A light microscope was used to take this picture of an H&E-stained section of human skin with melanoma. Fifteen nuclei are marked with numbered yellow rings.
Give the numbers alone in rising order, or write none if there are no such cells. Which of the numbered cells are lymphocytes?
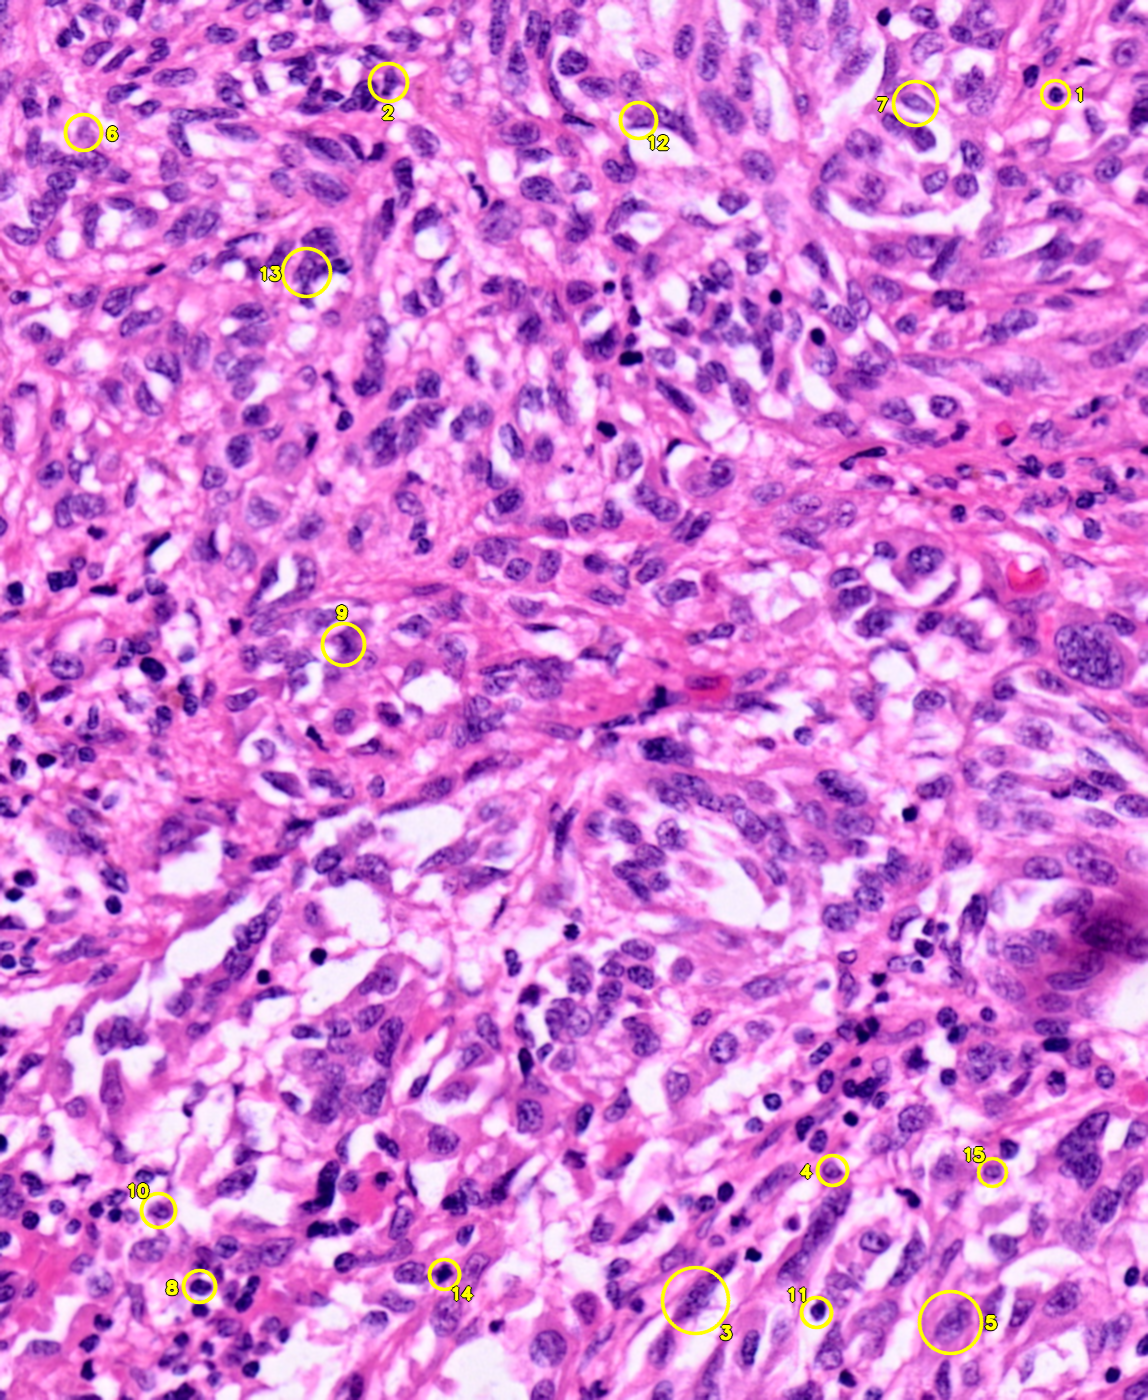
1, 8, 11, 14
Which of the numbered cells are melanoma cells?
2, 3, 5, 6, 7, 9, 12, 13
